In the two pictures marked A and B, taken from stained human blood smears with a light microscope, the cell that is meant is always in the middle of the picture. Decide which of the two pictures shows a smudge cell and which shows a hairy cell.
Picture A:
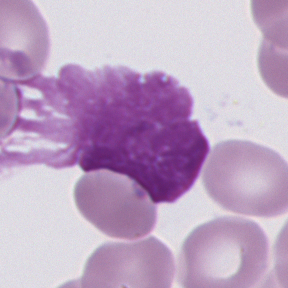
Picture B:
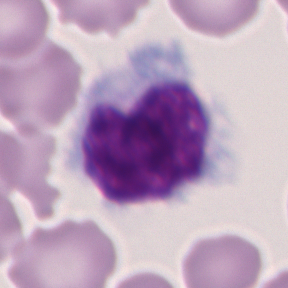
A: smudge cell
B: hairy cell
